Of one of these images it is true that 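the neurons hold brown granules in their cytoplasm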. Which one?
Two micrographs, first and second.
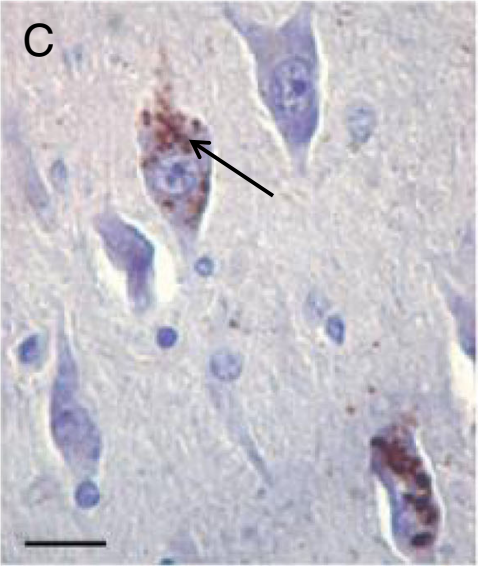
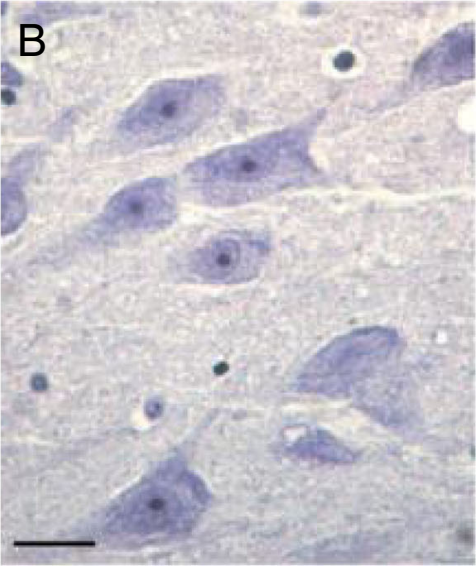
The first image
